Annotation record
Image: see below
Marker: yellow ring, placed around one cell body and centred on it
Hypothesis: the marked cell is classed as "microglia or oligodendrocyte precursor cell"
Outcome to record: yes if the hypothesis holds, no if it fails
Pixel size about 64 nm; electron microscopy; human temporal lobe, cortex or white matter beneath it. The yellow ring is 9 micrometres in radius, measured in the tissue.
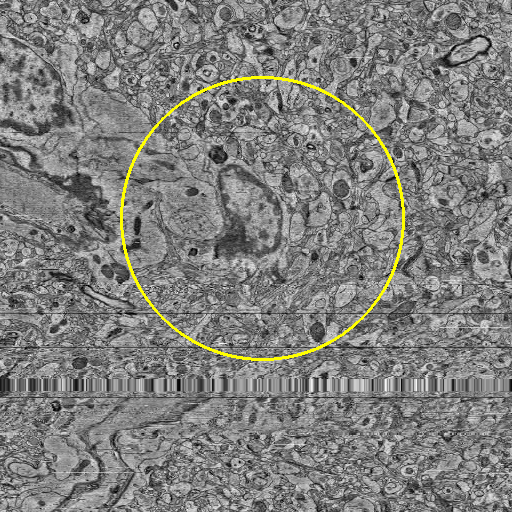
yes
